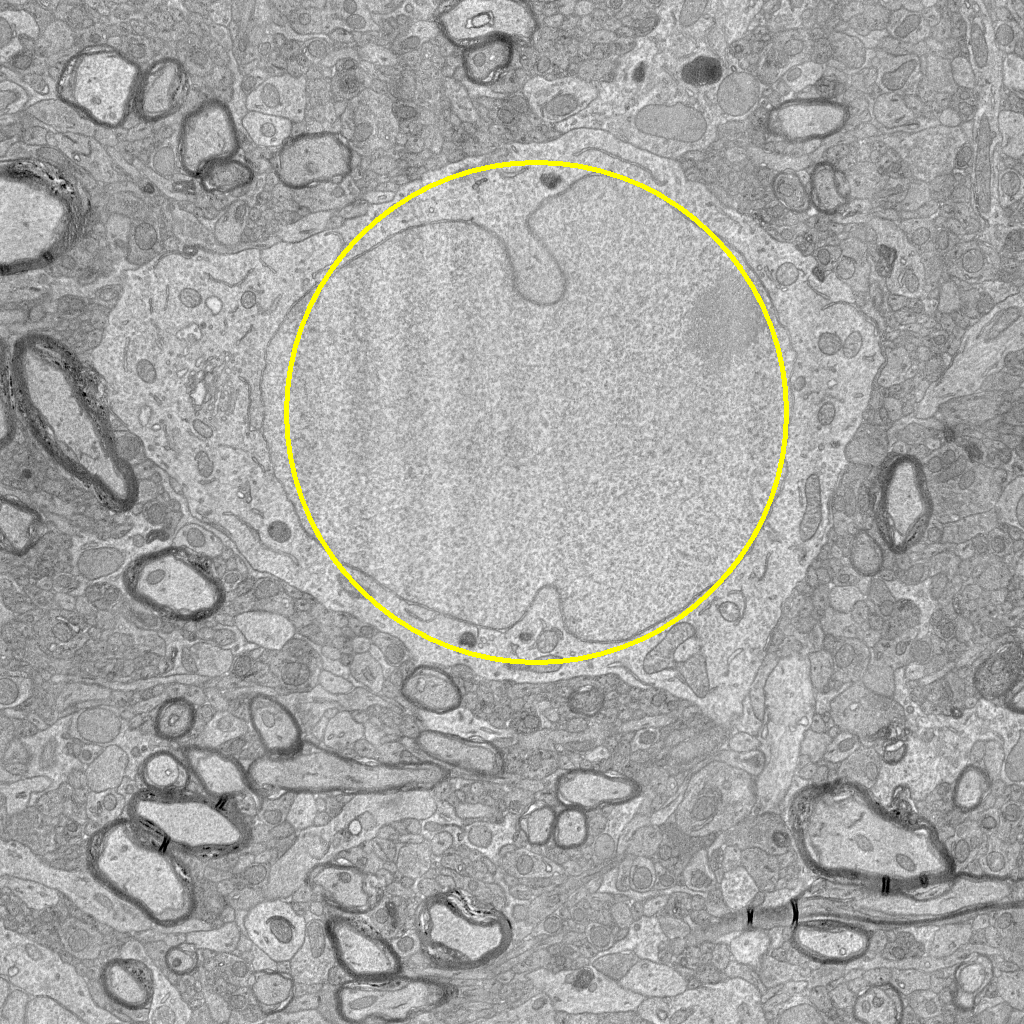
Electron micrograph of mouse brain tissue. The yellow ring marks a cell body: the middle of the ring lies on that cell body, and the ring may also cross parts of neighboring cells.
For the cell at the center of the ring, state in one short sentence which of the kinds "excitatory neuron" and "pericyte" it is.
This ring's center lies on an excitatory neuron.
